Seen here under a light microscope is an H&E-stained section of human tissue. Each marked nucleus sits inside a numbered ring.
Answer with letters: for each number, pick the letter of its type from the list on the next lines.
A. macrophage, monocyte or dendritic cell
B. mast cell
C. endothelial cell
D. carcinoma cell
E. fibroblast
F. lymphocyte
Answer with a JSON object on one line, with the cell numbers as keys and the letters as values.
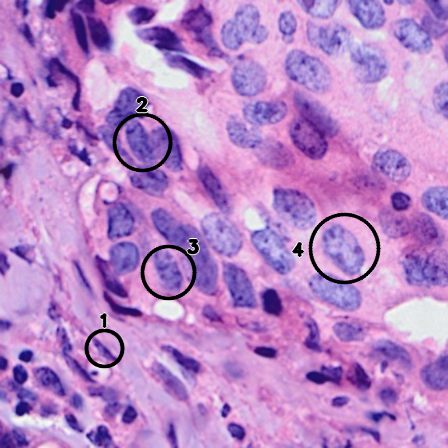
{"1": "E", "2": "D", "3": "D", "4": "D"}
